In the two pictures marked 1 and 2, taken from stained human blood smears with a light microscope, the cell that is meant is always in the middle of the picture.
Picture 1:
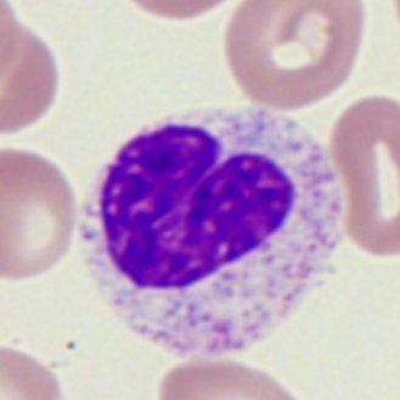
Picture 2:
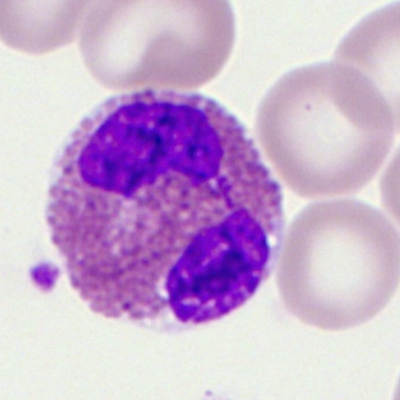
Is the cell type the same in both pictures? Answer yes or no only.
no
